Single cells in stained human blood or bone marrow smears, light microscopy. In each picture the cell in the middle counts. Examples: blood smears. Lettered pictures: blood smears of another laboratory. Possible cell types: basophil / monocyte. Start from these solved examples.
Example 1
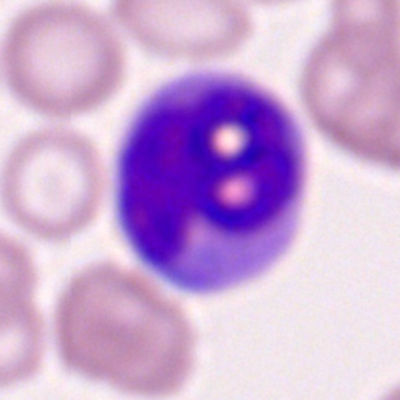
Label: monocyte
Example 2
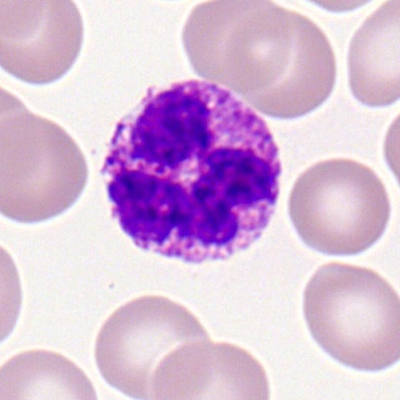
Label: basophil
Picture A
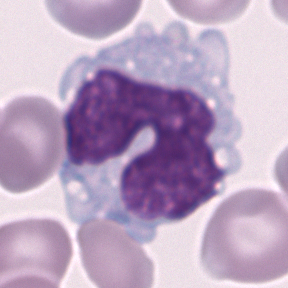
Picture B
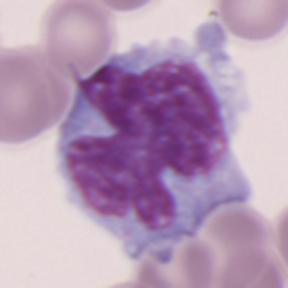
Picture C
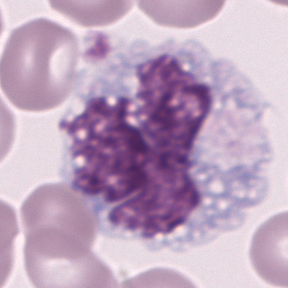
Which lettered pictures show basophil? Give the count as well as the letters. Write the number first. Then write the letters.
0, none of them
